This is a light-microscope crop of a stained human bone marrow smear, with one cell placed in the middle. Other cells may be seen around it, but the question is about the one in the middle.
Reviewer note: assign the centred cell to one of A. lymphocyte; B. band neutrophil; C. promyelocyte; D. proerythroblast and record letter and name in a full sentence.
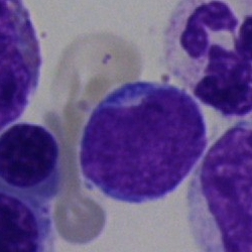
That cell in the center is a lymphocyte, hence option A.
